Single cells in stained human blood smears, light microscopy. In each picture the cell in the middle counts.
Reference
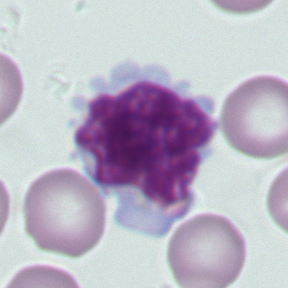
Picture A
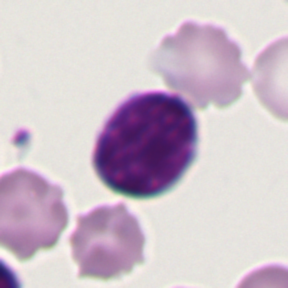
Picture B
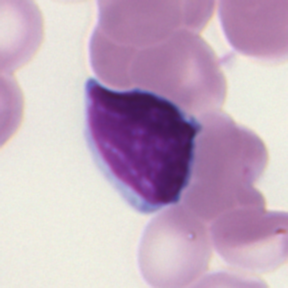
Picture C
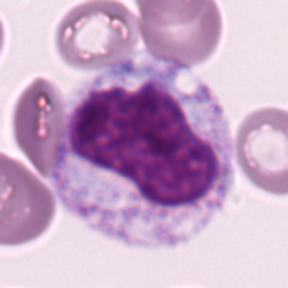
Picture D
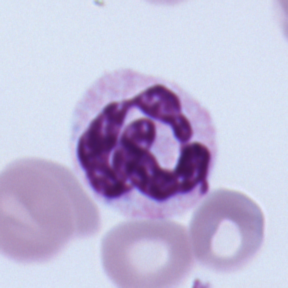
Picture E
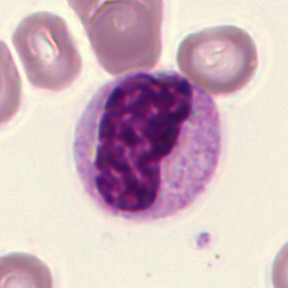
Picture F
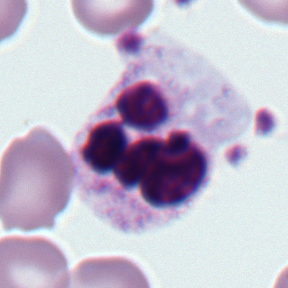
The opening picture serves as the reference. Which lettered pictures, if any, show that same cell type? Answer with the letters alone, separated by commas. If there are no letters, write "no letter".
A, B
